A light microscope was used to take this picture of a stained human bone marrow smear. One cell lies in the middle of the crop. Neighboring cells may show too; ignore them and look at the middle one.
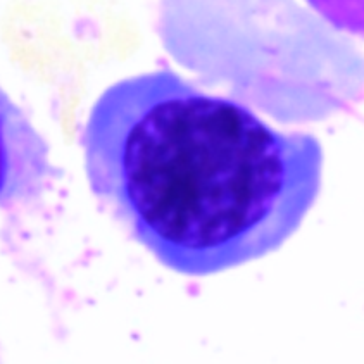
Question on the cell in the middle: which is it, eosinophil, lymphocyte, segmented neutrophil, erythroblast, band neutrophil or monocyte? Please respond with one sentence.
The middle of this crop holds an erythroblast.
